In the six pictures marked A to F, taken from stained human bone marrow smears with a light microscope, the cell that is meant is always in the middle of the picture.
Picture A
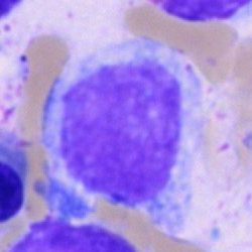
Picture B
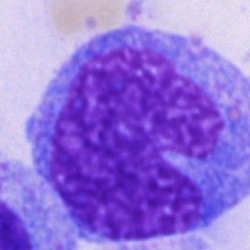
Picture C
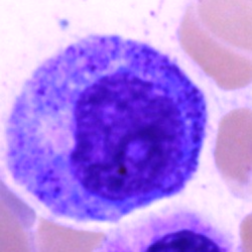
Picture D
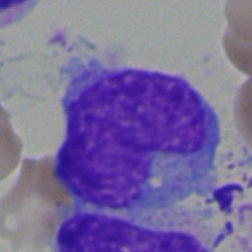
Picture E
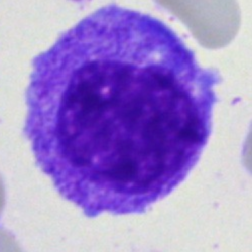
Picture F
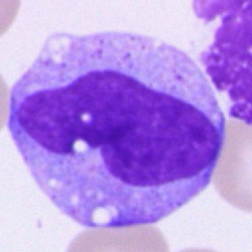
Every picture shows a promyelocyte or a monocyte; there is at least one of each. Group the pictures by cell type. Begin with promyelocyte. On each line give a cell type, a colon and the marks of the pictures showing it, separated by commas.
promyelocyte: A, C, E
monocyte: B, D, F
